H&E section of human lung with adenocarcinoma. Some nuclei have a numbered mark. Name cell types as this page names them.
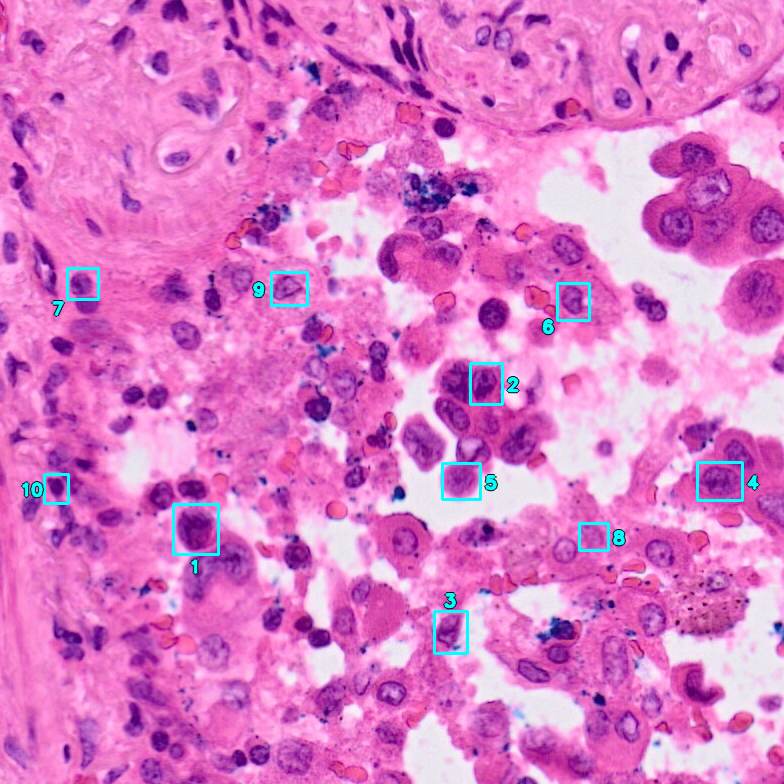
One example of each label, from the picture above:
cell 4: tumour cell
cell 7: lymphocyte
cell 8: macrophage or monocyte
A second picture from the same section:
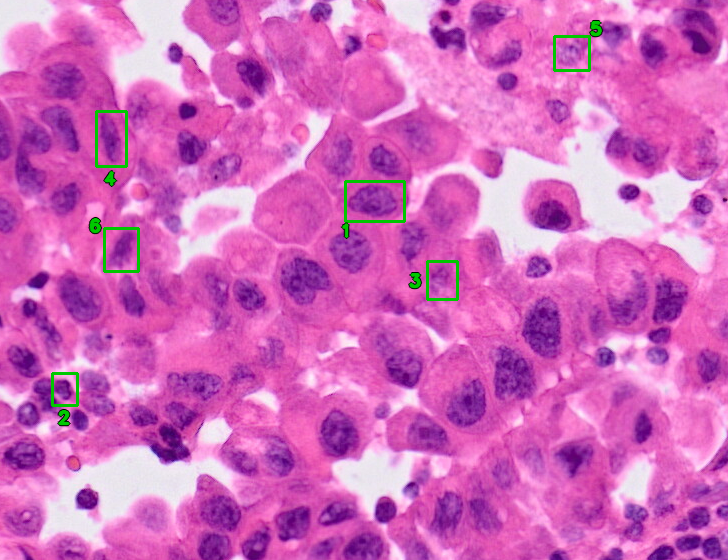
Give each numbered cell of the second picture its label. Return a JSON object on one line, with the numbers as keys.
{"1": "tumour cell", "2": "lymphocyte", "3": "tumour cell", "4": "tumour cell", "5": "macrophage or monocyte", "6": "tumour cell"}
